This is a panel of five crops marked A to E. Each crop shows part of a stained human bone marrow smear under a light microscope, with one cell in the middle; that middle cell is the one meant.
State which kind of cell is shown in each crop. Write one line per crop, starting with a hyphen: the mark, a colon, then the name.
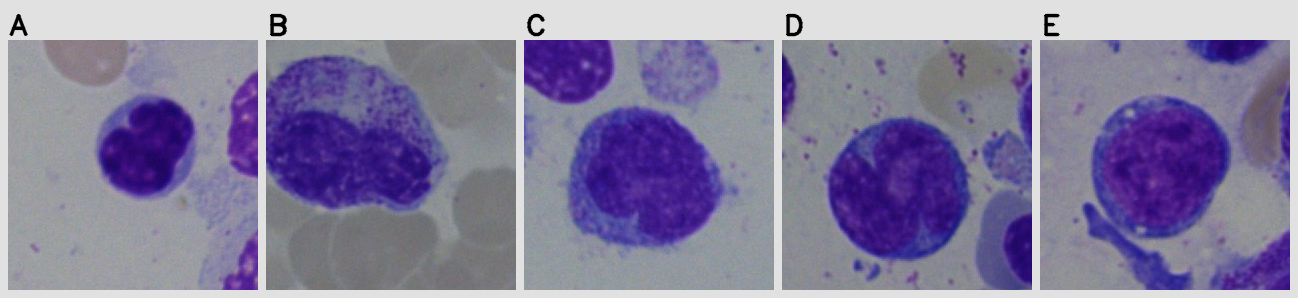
- A: lymphocyte
- B: metamyelocyte
- C: blast
- D: blast
- E: lymphocyte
